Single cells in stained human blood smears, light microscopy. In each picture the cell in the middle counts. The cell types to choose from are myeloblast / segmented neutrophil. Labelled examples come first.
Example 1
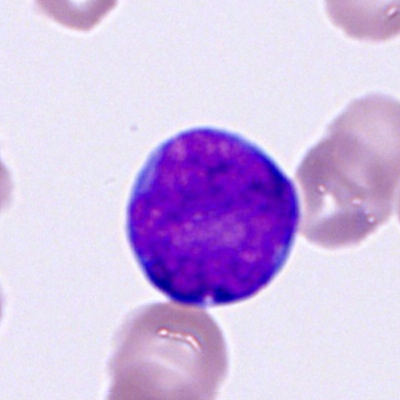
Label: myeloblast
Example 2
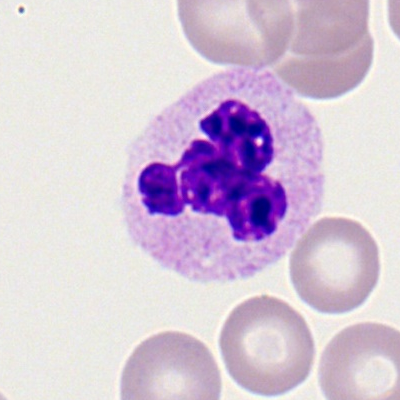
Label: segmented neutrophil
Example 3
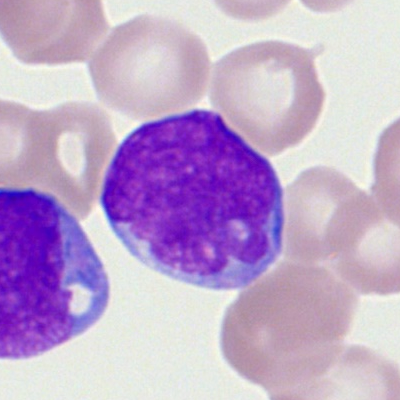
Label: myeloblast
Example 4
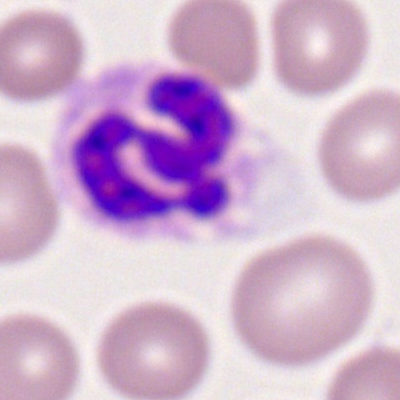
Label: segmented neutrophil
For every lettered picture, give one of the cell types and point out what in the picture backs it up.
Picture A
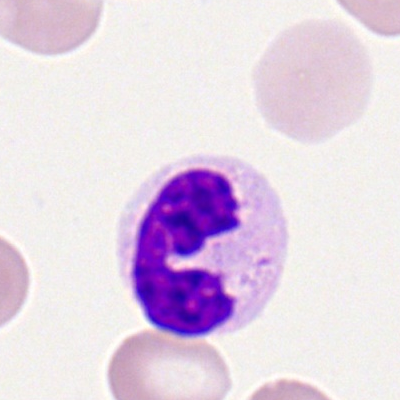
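segmented neutrophil: The nucleus is a single curved band shaped like a thick C, not split into separate lobes.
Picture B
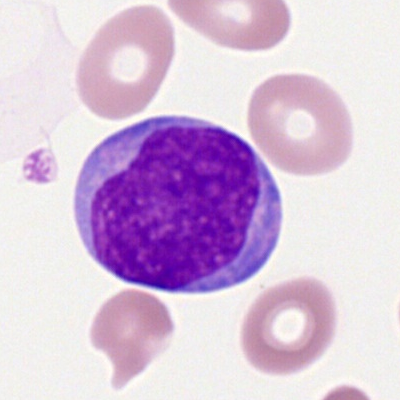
myeloblast: The cytoplasm is blue.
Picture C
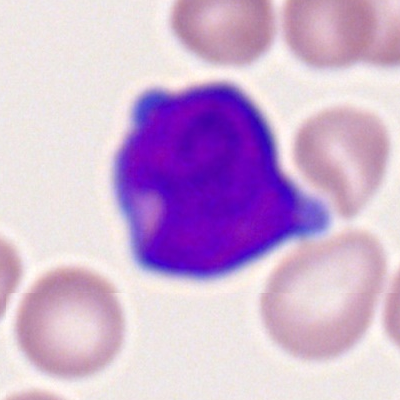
myeloblast: The visible cytoplasm is deep blue.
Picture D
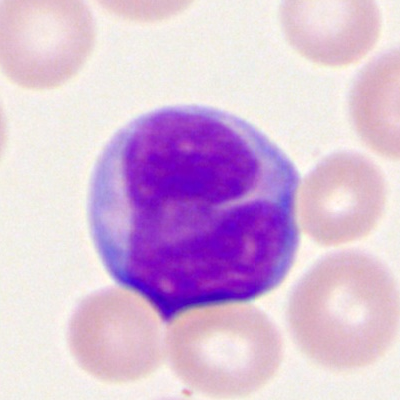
myeloblast: The nucleus fills most of the cell.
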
